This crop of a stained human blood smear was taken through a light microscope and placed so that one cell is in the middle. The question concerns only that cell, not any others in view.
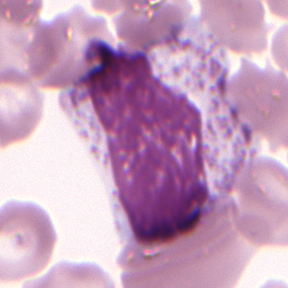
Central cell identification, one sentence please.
The middle position in this crop is taken by a myelocyte.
